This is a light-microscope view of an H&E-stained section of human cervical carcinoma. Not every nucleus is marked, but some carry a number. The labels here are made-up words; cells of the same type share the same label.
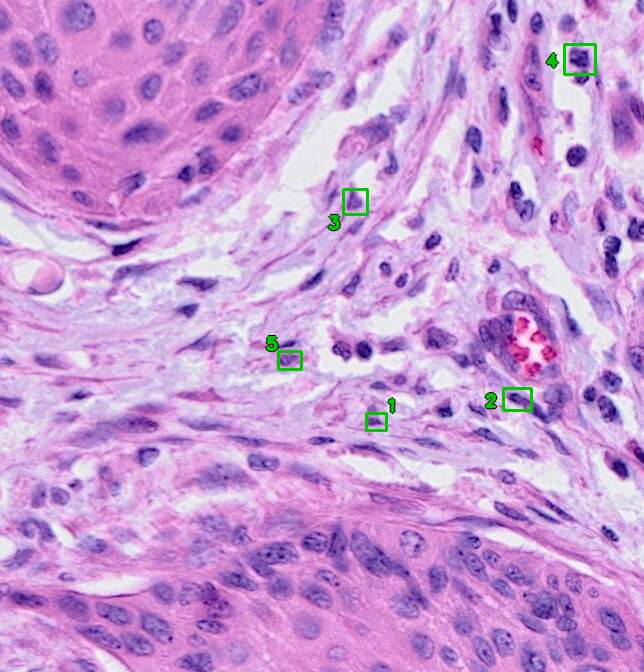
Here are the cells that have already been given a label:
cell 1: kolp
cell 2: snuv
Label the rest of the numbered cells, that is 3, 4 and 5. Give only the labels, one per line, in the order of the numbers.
kolp
snuv
kolp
